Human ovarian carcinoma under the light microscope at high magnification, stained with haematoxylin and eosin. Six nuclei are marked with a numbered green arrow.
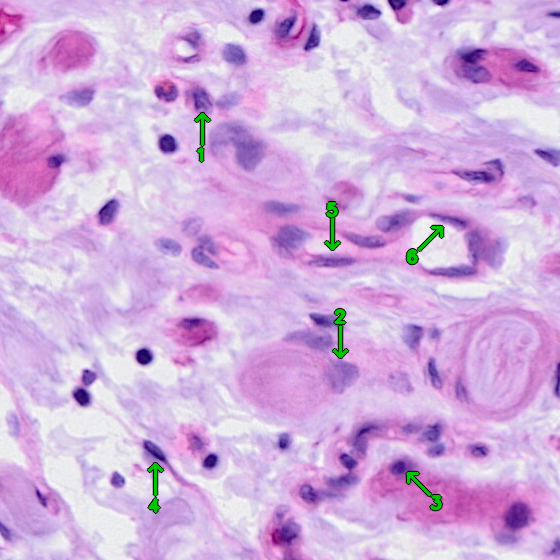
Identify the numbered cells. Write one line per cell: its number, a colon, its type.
1: endothelial cell
2: fibroblast
3: smooth muscle cell
4: fibroblast
5: endothelial cell
6: endothelial cell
